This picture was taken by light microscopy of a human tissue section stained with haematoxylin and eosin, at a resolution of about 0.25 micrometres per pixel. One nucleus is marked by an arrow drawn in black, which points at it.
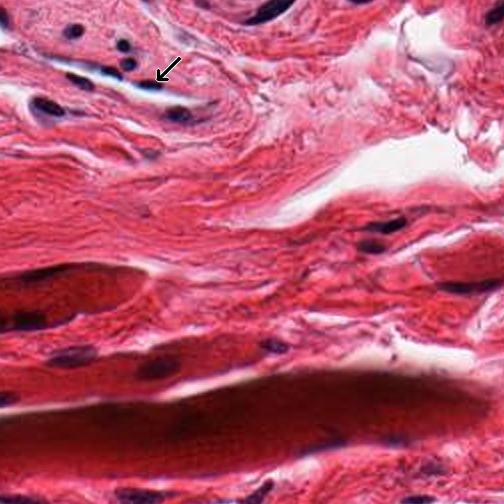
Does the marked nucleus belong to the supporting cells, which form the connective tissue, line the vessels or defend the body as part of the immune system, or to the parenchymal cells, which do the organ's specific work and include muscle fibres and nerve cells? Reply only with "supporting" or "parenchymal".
supporting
